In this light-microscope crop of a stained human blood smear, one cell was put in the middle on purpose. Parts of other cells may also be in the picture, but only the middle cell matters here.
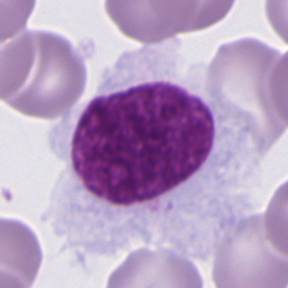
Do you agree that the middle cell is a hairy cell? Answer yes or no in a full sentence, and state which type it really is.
Yes, as for the central cell, it is a hairy cell.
